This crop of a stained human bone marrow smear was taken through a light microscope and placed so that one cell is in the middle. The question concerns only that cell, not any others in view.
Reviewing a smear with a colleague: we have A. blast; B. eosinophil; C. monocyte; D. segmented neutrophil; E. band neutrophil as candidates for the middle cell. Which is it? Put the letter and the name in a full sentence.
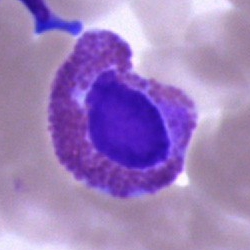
The cell placed in the middle is an eosinophil; option B is correct.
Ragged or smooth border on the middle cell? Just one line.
It is the contour of the cell that is irregular, being ragged or projecting outward.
